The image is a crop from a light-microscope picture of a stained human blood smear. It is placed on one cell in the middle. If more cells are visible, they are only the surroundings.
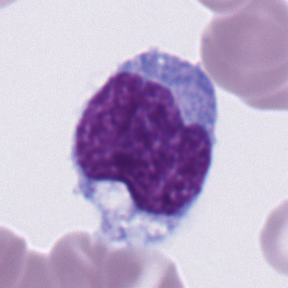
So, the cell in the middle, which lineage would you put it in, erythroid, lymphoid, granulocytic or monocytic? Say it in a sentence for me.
Our central cell here is part of the monocytic lineage.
